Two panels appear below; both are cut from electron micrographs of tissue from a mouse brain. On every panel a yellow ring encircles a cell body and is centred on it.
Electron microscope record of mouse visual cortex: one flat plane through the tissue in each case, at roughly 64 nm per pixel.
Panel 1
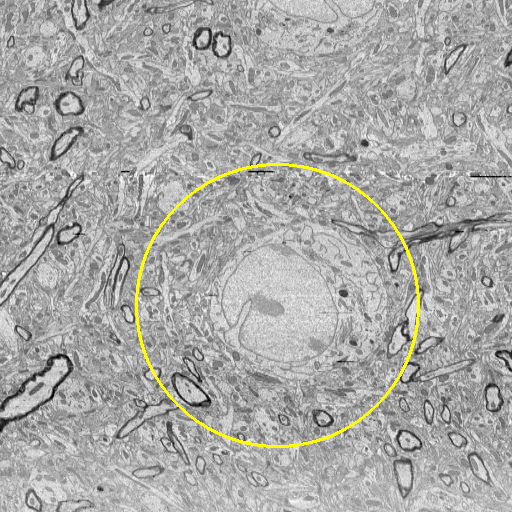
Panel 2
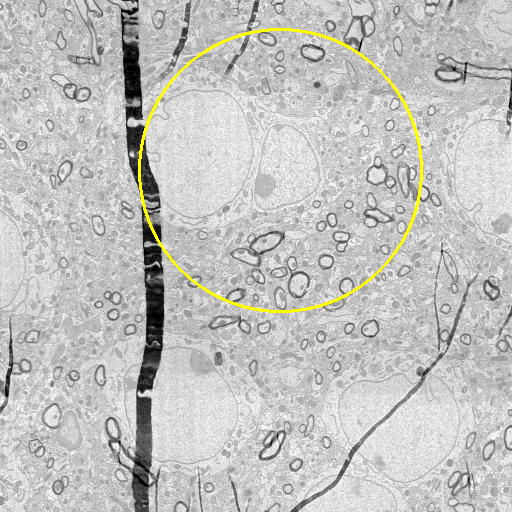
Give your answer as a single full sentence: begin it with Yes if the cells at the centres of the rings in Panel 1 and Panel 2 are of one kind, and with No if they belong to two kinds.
No, the cells in the middle of the rings in Panels 1 and 2 are of two kinds.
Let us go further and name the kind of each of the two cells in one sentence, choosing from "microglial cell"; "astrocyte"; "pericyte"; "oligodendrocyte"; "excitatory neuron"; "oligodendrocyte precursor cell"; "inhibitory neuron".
The ring of the first picture is on an excitatory neuron, the ring of the second on an oligodendrocyte precursor cell.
